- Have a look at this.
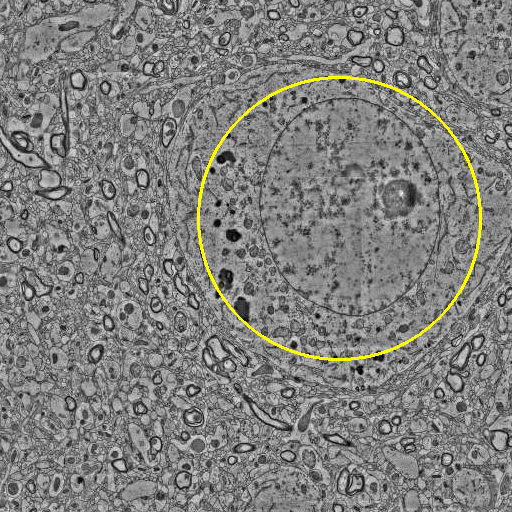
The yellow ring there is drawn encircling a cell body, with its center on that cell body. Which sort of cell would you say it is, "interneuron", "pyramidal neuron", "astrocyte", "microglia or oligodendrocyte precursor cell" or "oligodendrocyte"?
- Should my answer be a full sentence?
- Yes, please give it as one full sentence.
For this picture, a pyramidal neuron is the cell where the yellow ring has its center.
